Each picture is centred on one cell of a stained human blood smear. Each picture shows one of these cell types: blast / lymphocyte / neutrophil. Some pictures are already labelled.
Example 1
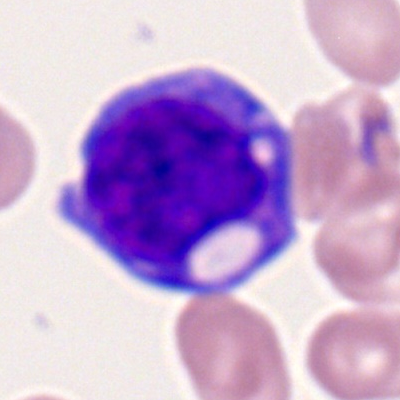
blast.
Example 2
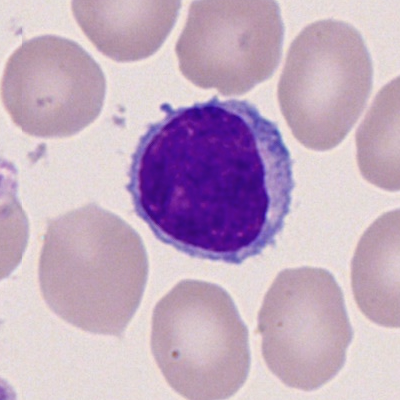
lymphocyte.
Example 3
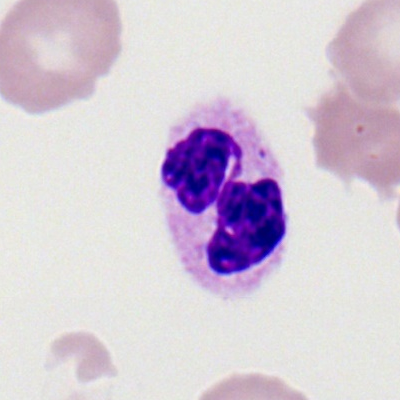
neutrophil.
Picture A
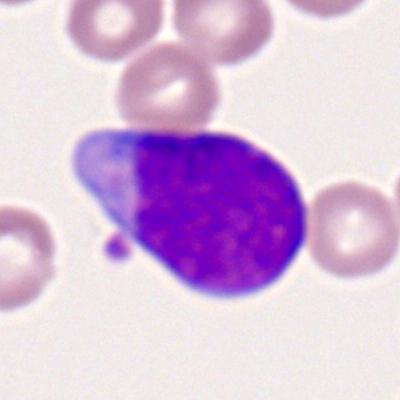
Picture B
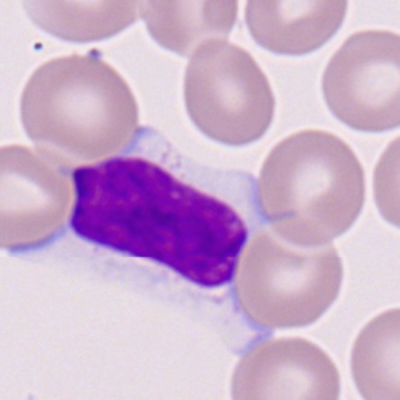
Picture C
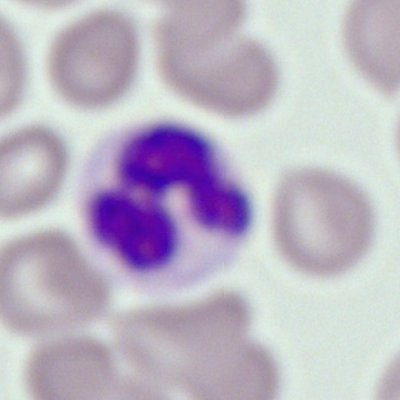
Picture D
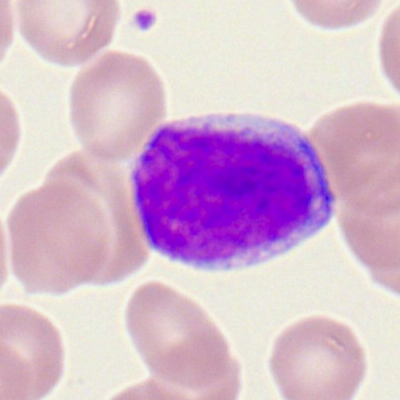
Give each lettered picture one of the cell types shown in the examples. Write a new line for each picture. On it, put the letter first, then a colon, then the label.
A: blast.
B: lymphocyte.
C: neutrophil.
D: blast.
